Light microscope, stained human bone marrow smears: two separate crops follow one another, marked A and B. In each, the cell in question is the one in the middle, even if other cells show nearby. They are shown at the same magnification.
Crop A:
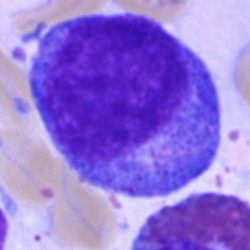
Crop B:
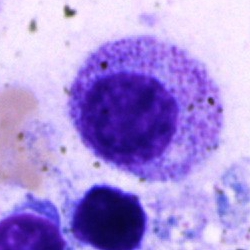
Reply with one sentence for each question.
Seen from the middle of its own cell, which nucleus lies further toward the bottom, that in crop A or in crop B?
In crop B the nucleus is shifted more toward the bottom.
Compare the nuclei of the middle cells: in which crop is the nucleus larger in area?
The nucleus in crop A is larger, with about 2.5 times the area of the one in crop B.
